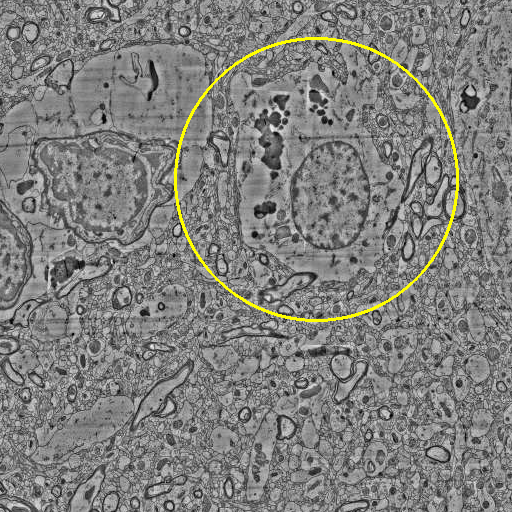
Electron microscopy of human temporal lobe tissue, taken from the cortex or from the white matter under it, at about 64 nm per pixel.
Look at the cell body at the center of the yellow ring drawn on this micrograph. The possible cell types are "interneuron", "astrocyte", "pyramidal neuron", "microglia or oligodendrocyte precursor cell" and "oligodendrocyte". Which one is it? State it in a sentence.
The cell in the middle of the ring is an astrocyte.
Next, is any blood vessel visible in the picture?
Yes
